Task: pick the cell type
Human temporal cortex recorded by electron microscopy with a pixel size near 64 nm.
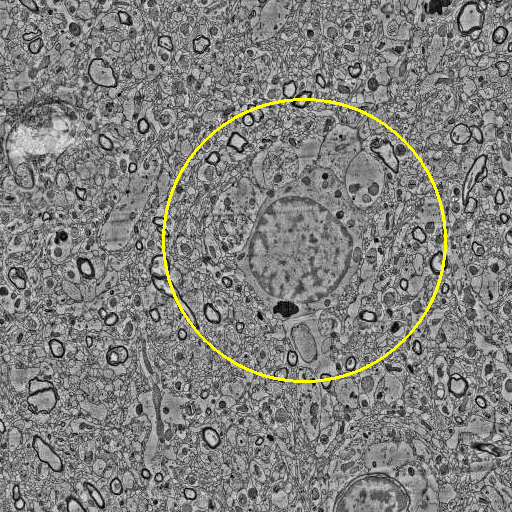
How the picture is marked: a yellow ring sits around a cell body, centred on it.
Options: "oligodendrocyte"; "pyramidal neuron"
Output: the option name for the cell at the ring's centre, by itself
oligodendrocyte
